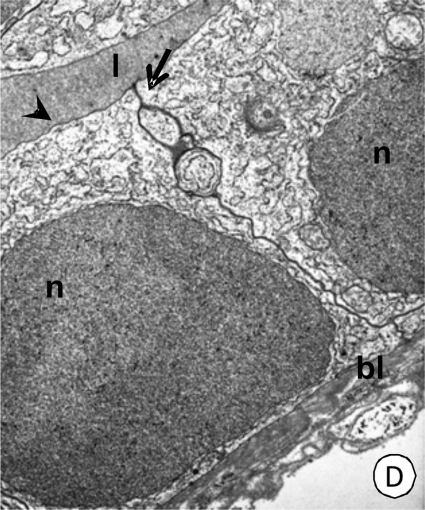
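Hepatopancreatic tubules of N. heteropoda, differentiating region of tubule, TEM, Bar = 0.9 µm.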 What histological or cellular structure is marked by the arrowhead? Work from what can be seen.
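Apical membrane without any folds or microvilli. The arrowhead points to the cell surface bordering the homogeneous lumen at the top left. This surface runs as a smooth line with no projections.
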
